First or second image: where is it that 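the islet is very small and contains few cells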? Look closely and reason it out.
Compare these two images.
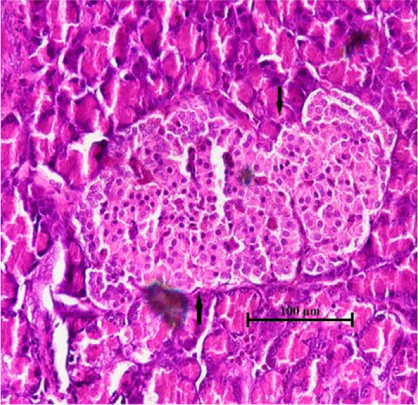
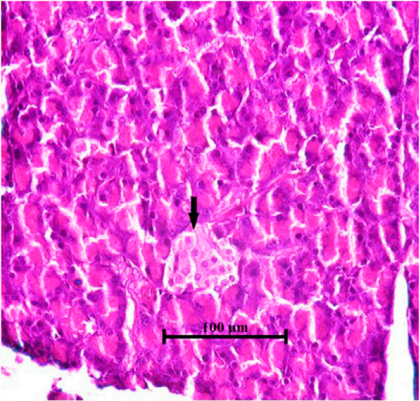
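Second image: the only pale cell cluster is small, well under the width of the scale bar. First image: the pale cell cluster is large, wider than the scale bar, and packed with cells.
Conclusion: the second image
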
